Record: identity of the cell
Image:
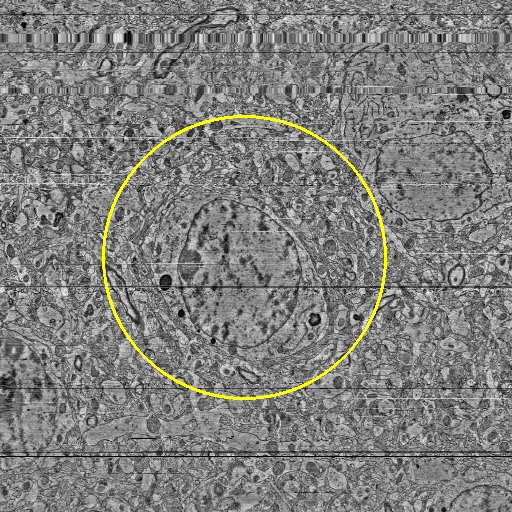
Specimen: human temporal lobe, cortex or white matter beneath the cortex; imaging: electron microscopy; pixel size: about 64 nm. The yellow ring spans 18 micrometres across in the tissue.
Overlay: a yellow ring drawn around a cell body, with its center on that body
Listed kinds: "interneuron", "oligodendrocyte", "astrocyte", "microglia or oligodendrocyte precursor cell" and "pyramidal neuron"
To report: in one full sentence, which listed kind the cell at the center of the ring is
In the image, the cell body at the ring's center belongs to a pyramidal neuron.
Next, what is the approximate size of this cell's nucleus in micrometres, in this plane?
Approximately 10 by 8 micrometers in this plane.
